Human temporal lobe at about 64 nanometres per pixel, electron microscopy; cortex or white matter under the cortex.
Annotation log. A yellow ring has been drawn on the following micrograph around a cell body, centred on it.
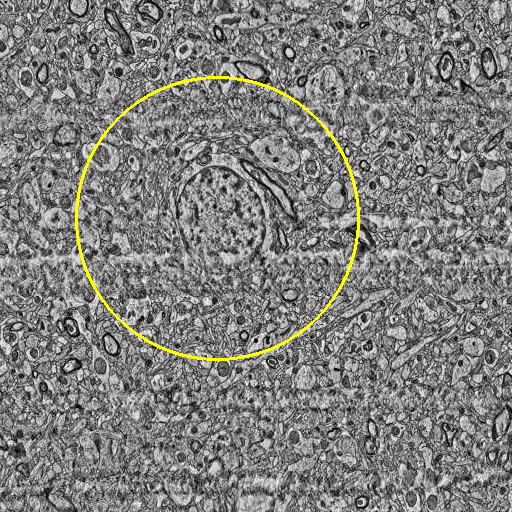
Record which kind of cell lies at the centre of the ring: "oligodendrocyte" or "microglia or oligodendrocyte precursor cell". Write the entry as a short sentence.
The cell the ring is centred on is a microglial cell or oligodendrocyte precursor cell.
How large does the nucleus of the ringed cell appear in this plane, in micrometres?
In this plane, about 7 micrometres in length and 6 in width.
